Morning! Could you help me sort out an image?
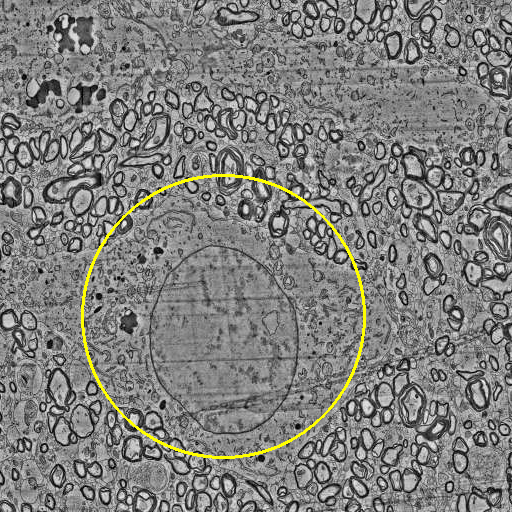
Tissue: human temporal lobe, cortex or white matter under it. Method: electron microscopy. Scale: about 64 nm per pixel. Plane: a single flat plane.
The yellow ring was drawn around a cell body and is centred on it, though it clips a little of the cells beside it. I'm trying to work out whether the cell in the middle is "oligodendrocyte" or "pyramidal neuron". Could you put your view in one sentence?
The ringed cell body is that of a pyramidal neuron.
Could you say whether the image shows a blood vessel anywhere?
No, a blood vessel is absent from this picture.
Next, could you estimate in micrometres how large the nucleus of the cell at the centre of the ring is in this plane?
In this plane, the nucleus is roughly 12 by 10 micrometres.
